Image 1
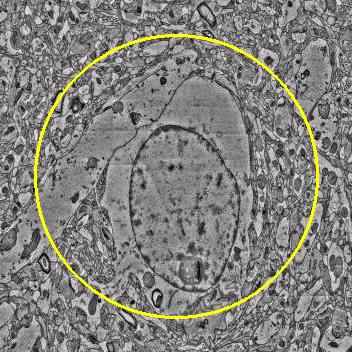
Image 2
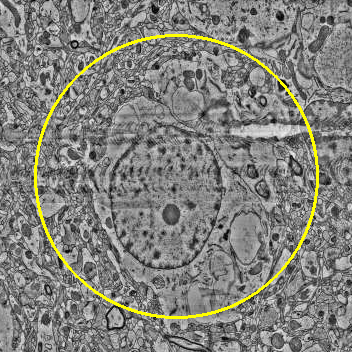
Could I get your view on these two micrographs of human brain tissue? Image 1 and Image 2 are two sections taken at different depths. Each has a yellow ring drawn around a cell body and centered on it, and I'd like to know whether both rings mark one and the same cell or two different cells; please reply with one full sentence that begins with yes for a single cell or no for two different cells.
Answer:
No, two different cells appear inside the two yellow rings.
